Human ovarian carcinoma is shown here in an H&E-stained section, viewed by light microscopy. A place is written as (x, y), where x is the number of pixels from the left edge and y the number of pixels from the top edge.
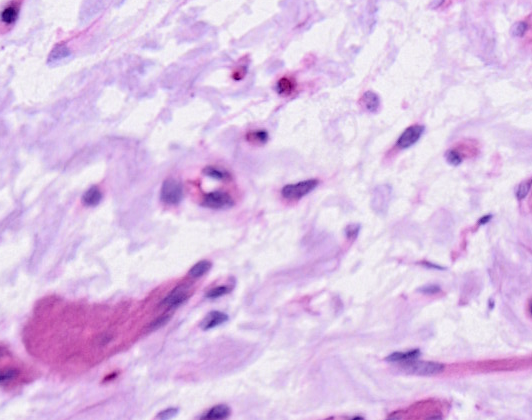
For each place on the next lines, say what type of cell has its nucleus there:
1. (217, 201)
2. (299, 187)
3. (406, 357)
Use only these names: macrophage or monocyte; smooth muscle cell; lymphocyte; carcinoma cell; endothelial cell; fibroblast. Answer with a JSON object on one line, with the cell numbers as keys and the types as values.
{"1": "endothelial cell", "2": "fibroblast", "3": "fibroblast"}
